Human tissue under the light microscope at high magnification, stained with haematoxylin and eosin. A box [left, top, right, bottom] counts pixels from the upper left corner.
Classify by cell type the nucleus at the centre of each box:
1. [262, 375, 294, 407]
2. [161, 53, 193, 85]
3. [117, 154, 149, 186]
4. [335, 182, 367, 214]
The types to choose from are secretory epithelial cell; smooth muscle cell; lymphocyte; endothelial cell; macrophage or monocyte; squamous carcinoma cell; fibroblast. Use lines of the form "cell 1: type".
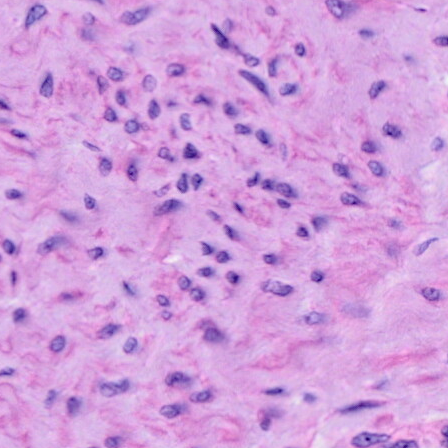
cell 1: fibroblast
cell 2: smooth muscle cell
cell 3: smooth muscle cell
cell 4: smooth muscle cell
